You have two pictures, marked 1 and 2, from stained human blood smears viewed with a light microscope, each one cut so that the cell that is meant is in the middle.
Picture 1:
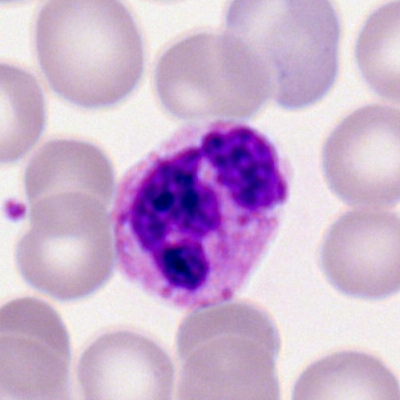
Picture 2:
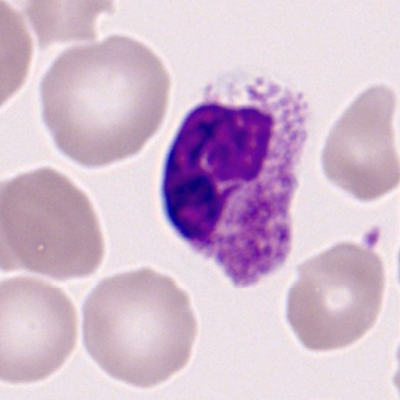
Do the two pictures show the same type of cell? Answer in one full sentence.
Yes; the cells in both pictures are basophils.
